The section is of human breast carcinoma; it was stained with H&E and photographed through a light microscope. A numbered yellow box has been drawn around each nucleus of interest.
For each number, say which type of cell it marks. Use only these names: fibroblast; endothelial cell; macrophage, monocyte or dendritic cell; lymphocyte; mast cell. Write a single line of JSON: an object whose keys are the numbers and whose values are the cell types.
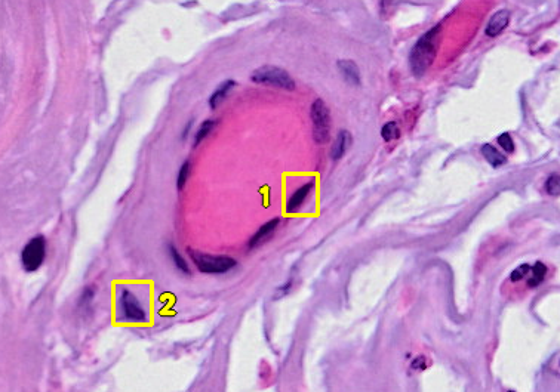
{"1": "endothelial cell", "2": "fibroblast"}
